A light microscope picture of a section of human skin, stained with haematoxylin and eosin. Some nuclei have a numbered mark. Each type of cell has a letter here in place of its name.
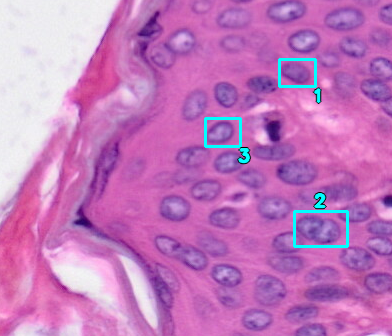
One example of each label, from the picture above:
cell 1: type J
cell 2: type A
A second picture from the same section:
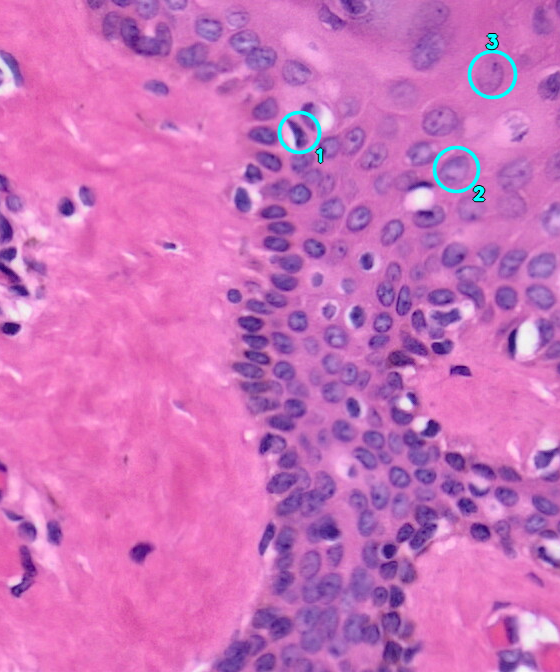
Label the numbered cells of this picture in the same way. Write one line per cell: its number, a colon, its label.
1: type J
2: type A
3: type A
